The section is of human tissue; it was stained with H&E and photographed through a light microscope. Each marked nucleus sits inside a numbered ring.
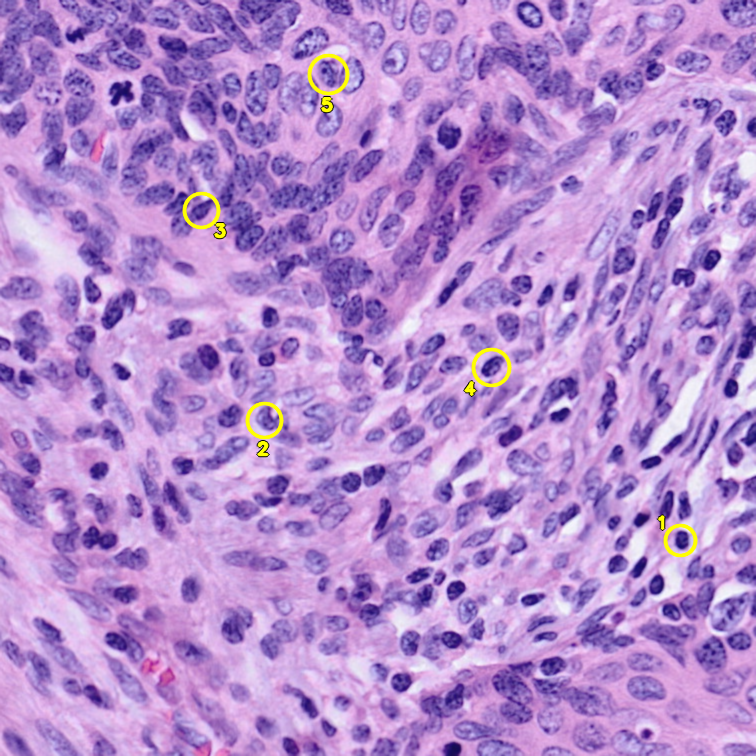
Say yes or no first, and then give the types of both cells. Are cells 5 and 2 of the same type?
No, cell 5 is a squamous carcinoma cell and cell 2 is a lymphocyte.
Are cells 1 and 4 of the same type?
Yes, both are lymphocytes.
